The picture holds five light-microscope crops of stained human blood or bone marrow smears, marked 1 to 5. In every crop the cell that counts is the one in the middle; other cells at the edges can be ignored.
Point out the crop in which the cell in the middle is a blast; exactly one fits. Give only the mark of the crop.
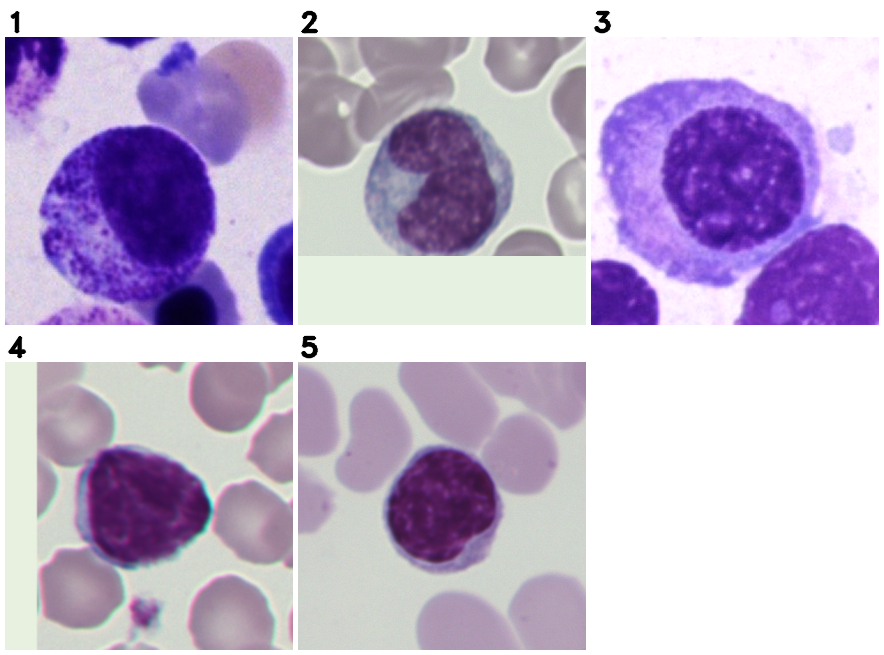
5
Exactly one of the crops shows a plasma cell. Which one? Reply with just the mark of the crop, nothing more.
3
